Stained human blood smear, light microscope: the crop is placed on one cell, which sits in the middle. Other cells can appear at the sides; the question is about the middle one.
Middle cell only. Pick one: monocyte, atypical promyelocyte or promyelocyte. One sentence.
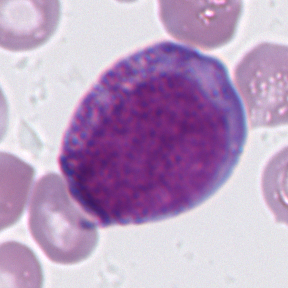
At the center of the crop sits a promyelocyte.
